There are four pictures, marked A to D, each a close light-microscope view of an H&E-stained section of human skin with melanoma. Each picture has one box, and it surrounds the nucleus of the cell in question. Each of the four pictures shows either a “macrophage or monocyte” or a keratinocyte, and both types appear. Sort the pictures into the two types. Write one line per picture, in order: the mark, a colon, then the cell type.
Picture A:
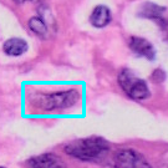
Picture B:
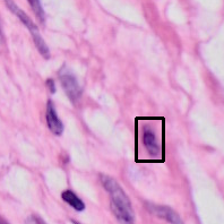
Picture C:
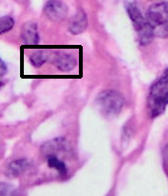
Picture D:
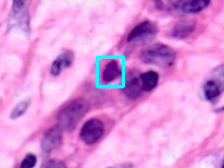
A: macrophage or monocyte
B: macrophage or monocyte
C: macrophage or monocyte
D: keratinocyte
